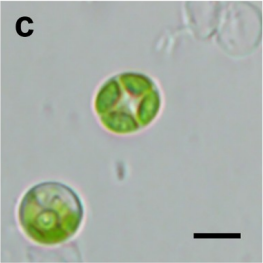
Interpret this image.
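Spherical green microalgal cells are seen, one of them a cell in division with cleavage of the protoplast. In the upper cell, the green protoplast is divided into four wedge-shaped portions separated by pale, cross-shaped clefts, all enclosed within a single smooth, rounded cell wall. Fine, thin wall remnants or debris are seen in the background near the top of the field.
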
